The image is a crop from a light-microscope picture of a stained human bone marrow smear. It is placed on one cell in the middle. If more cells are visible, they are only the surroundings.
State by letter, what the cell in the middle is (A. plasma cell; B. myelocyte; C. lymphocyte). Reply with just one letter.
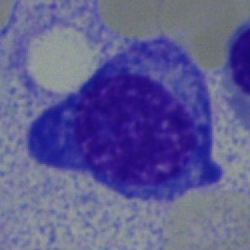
A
